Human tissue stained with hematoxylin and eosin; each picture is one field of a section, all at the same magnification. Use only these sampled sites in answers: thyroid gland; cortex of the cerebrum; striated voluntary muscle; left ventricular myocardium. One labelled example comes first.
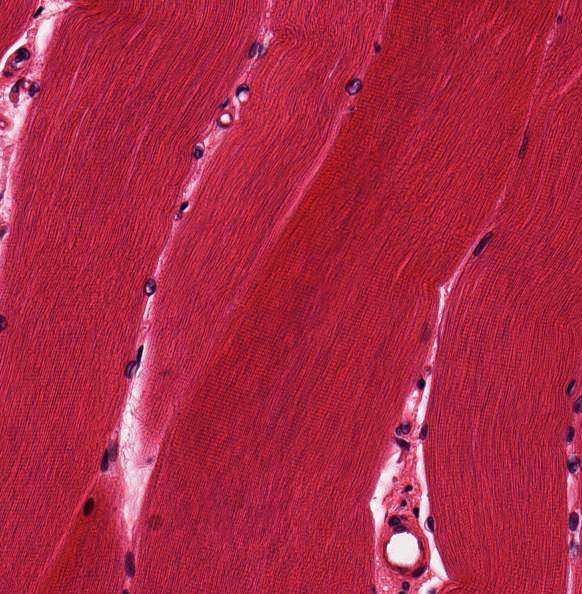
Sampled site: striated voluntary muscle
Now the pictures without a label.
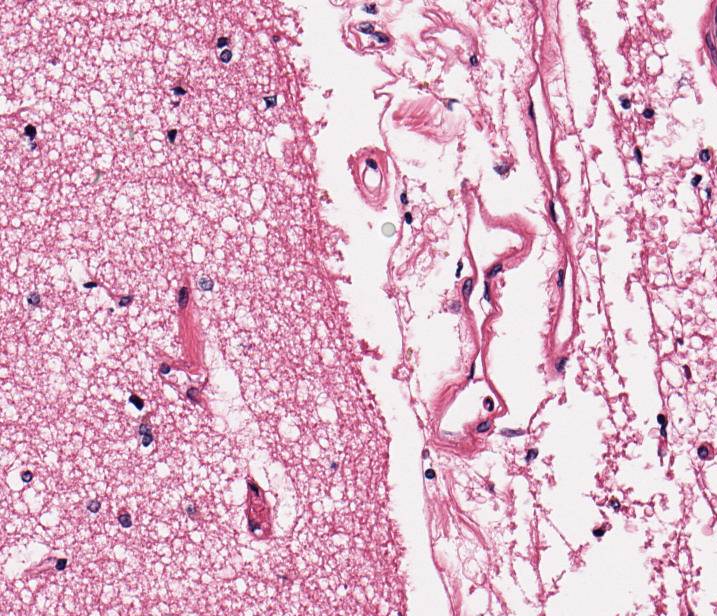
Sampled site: cortex of the cerebrum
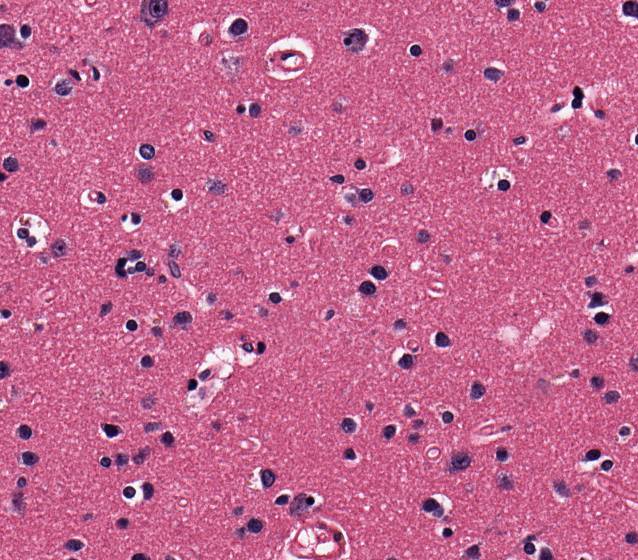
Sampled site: cortex of the cerebrum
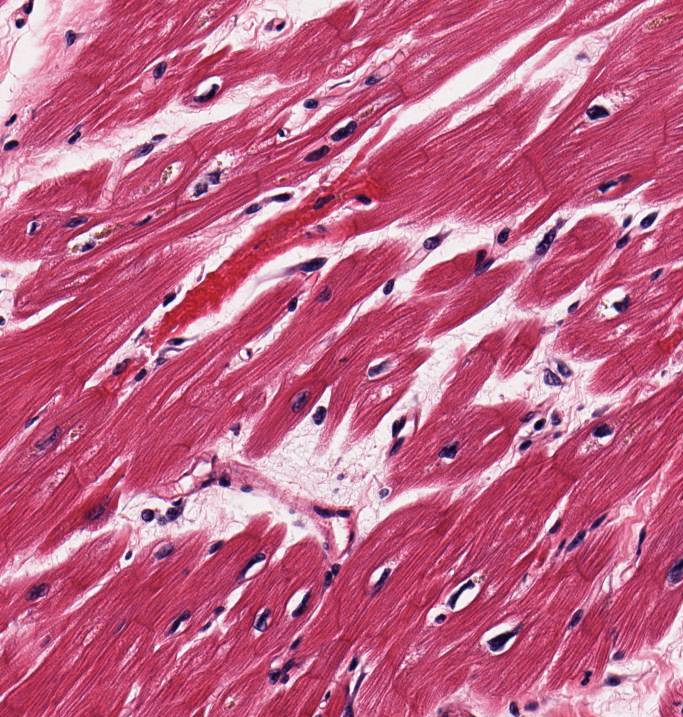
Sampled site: left ventricular myocardium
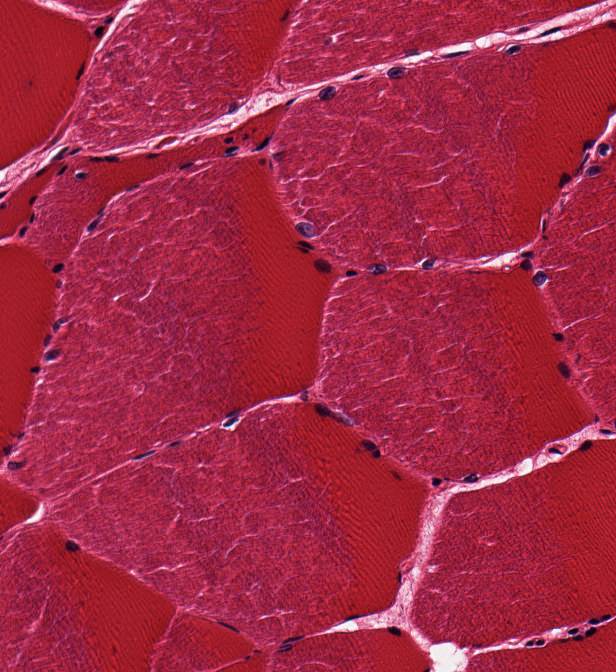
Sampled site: striated voluntary muscle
